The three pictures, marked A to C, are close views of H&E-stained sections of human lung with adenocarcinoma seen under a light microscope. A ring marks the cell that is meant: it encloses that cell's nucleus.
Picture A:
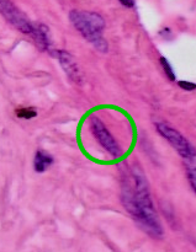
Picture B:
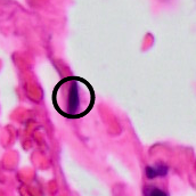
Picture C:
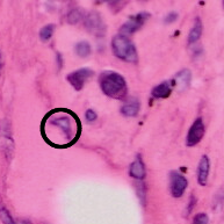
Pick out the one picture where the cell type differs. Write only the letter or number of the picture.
A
